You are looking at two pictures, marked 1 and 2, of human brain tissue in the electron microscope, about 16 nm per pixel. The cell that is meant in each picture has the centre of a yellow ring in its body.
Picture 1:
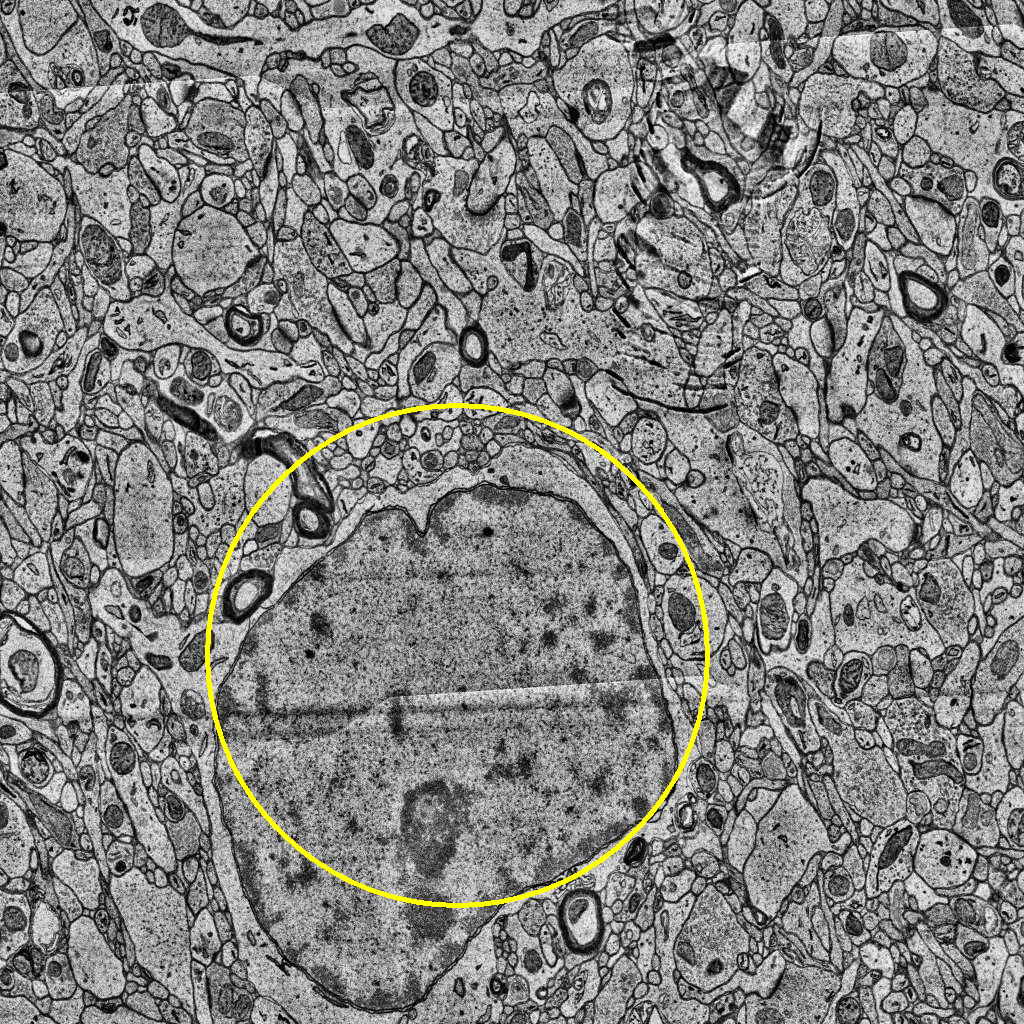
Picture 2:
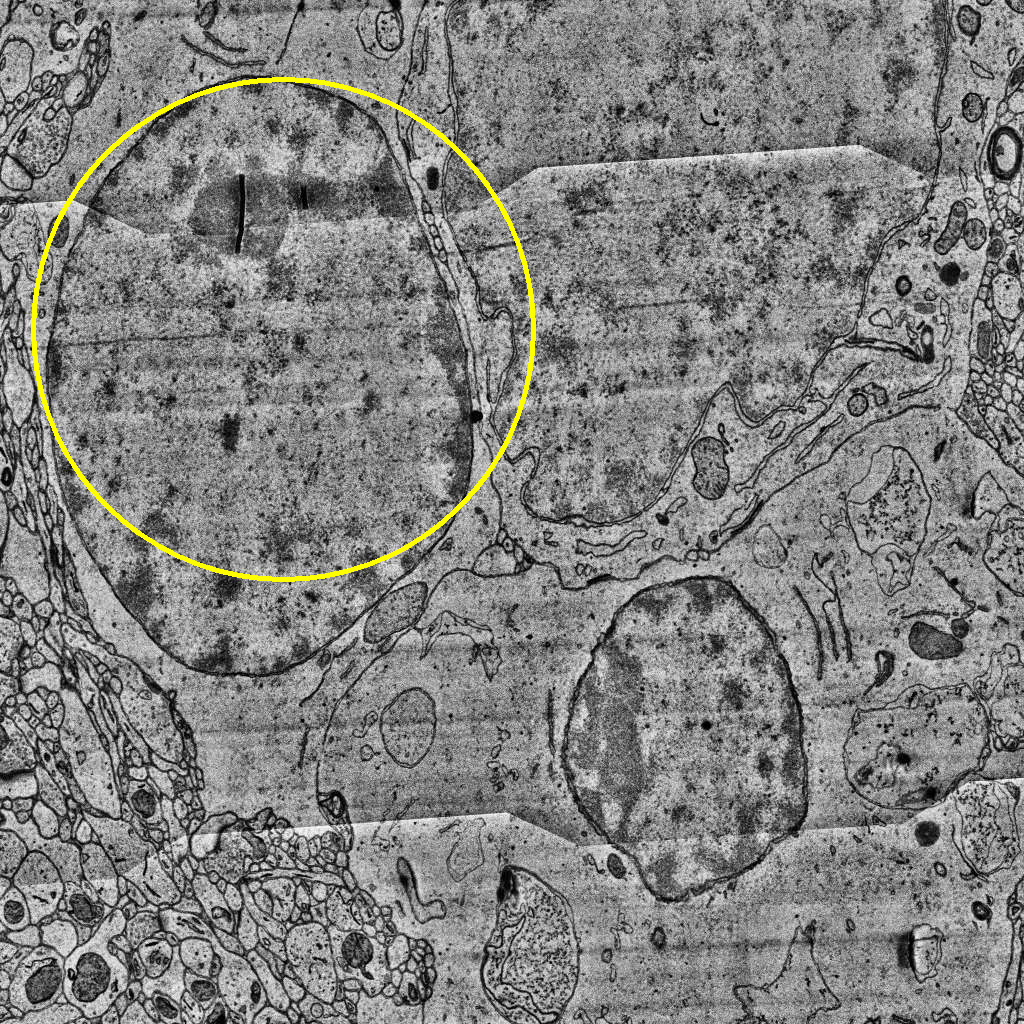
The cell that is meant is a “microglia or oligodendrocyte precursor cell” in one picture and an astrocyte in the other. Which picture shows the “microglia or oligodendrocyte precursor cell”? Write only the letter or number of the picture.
1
